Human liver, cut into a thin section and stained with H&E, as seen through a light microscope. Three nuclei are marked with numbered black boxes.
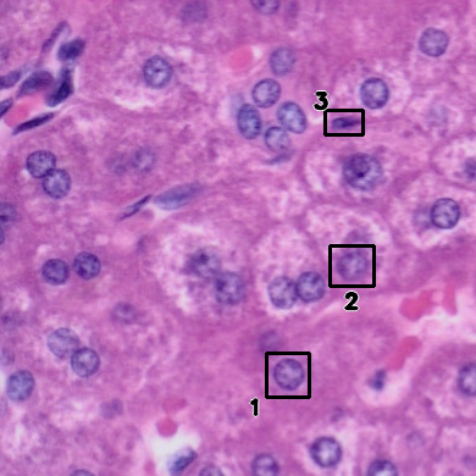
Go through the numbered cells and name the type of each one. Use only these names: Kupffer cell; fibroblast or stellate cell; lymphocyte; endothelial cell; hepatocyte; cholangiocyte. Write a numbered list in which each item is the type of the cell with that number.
1. hepatocyte
2. hepatocyte
3. fibroblast or stellate cell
